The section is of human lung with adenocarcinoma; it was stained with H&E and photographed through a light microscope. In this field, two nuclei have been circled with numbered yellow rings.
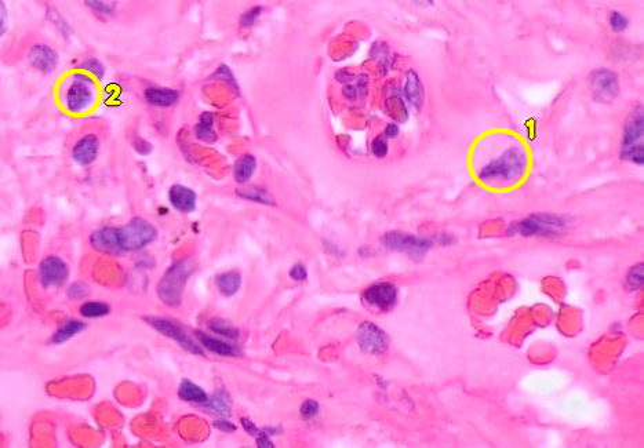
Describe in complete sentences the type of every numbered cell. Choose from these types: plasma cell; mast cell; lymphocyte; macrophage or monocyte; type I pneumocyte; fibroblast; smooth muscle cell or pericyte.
Cell 1 is a fibroblast. Cell 2 is a lymphocyte.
